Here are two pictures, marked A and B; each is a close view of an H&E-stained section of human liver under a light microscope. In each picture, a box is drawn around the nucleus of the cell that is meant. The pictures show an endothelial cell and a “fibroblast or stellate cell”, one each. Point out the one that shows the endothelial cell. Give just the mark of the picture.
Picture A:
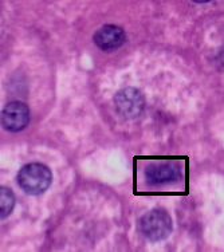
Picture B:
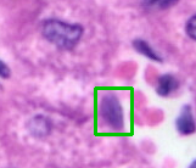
B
